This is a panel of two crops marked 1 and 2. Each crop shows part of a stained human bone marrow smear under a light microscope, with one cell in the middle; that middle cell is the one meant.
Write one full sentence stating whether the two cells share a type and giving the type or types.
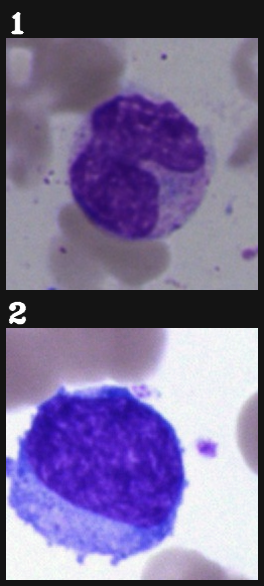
No: a monocyte sits in crop 1, and a blast sits in crop 2.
